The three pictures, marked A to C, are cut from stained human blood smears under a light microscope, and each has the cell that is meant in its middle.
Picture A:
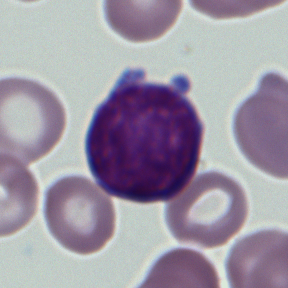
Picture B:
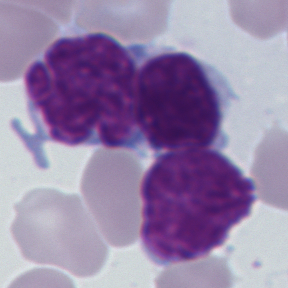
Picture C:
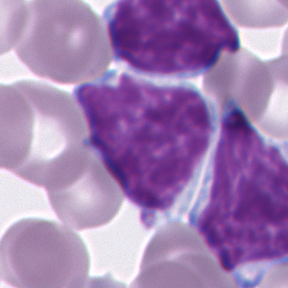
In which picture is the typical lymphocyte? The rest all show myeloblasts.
C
